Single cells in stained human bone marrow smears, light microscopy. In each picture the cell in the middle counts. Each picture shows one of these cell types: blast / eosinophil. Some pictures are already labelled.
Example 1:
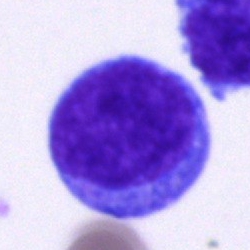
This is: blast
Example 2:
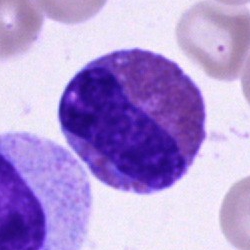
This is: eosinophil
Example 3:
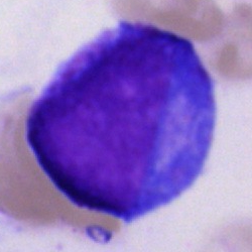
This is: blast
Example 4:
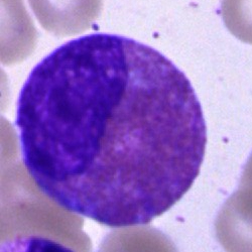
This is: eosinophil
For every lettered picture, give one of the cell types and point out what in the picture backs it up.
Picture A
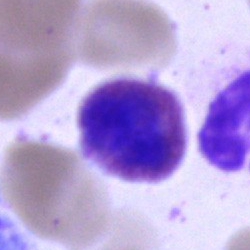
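Label: eosinophil. The chromatin is deep purple and coarsely mottled with darker clumps.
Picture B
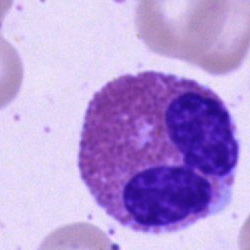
Label: eosinophil. Granules fill the cytoplasm throughout.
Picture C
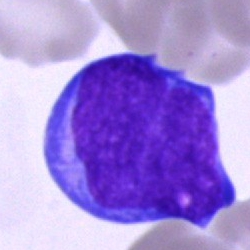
Label: blast. The nucleus fills most of the cell.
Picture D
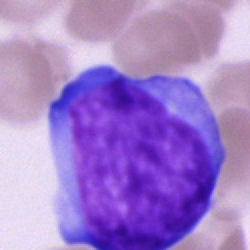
Label: blast. The nucleus fills most of the cell.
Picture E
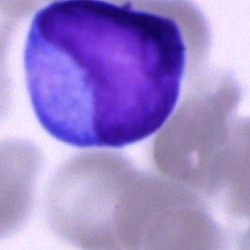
Label: blast. The nucleus fills most of the cell, taking up its upper and right part.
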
